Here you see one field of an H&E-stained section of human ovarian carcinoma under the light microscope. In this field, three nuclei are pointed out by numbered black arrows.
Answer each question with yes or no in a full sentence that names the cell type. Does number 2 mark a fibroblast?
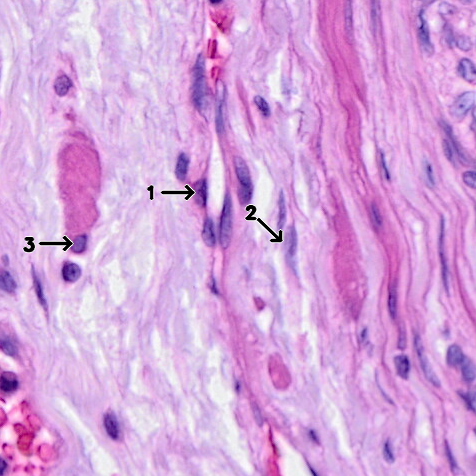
Yes, the number 2 belongs to a fibroblast.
